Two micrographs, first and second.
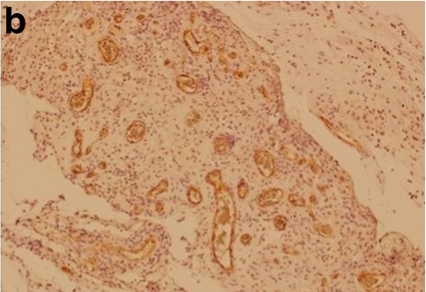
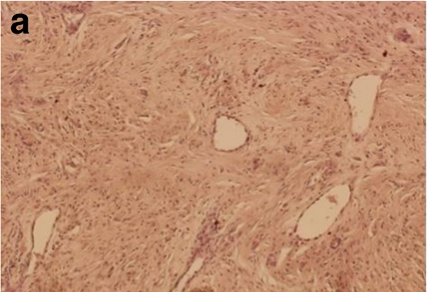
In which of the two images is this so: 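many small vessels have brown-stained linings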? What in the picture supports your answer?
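First image: numerous small vessels with brown rings along their walls. Second image: a few open vessel lumina with pale, unstained walls in spindle-cell tissue. That points to this answer: the first image.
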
